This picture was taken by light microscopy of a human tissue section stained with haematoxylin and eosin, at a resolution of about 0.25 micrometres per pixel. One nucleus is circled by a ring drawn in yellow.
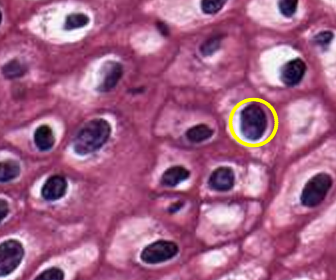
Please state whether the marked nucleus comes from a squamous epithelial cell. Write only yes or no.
yes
